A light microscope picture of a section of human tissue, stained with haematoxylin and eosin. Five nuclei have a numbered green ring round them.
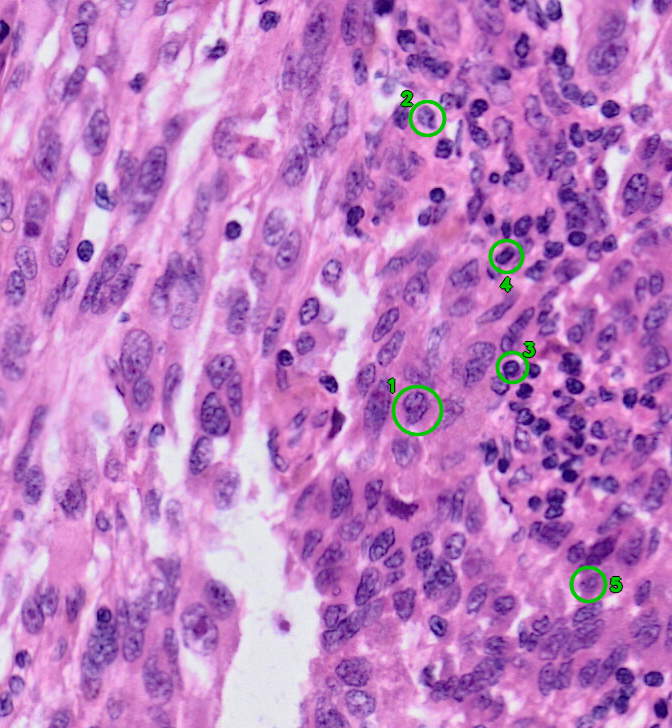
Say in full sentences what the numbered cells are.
Cells 1 and 5 are melanoma cells. Cells 2, 3 and 4 are lymphocytes.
